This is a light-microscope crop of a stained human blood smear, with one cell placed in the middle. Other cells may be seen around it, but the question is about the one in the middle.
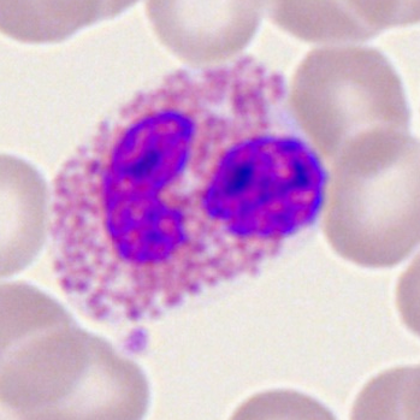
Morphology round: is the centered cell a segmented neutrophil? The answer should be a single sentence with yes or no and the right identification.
No, the cell at the centre is an eosinophil, which rules out a segmented neutrophil.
